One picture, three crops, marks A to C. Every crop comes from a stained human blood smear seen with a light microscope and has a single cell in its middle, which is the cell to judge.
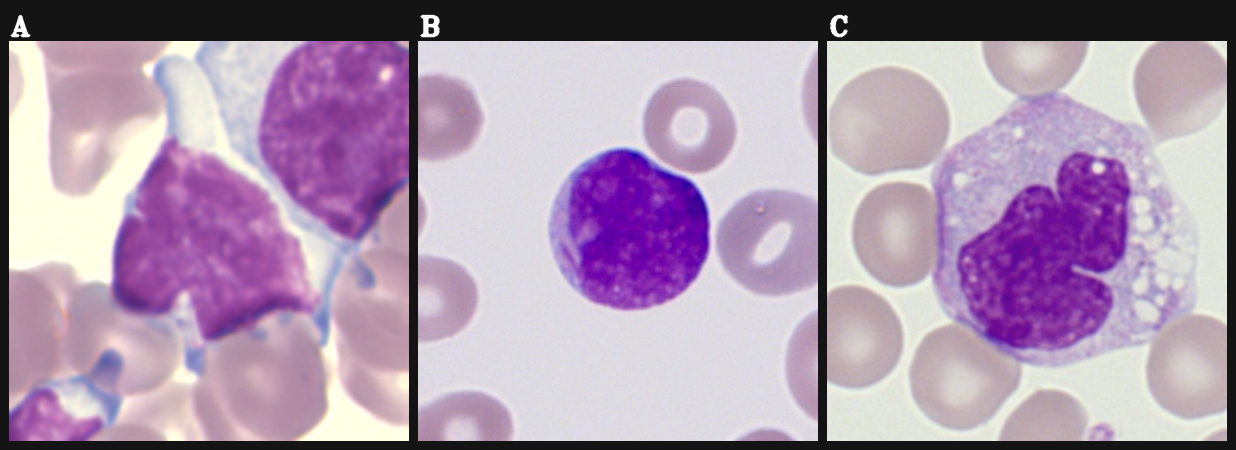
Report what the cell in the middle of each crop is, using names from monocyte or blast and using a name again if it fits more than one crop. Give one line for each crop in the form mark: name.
A: blast
B: blast
C: monocyte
